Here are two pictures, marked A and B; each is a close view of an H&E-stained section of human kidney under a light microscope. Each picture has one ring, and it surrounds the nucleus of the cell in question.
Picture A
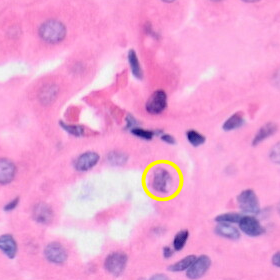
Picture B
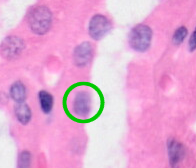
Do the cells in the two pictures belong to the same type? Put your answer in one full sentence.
Yes, both cells are “loop of Henle or distal tubule cells”.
